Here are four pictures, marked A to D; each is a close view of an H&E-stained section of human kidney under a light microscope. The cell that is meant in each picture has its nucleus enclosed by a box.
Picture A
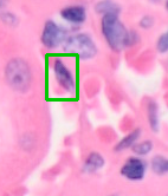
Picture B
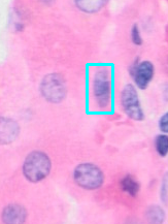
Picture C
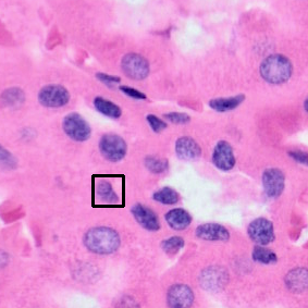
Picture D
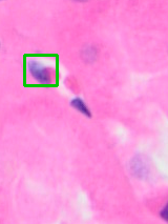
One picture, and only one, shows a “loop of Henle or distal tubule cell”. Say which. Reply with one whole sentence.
Picture C shows the “loop of Henle or distal tubule cell”.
